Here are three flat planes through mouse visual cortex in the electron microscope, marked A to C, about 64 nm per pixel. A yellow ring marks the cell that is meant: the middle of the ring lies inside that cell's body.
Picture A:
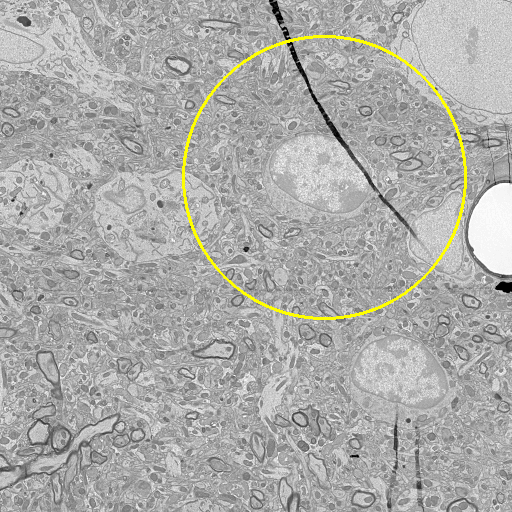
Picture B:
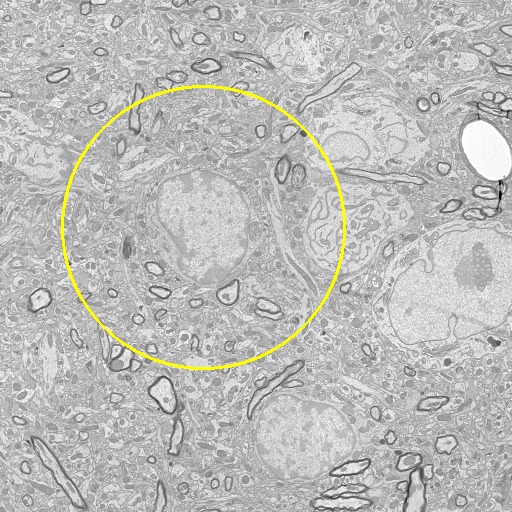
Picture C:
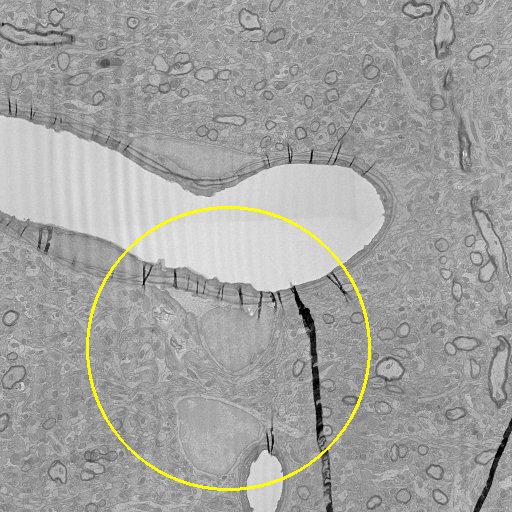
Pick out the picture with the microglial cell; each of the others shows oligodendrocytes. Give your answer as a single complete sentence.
The picture with the microglial cell is C.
